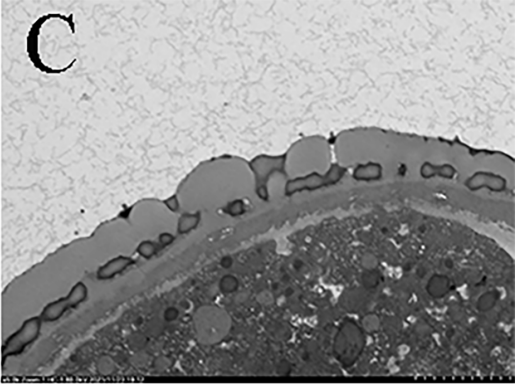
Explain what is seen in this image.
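Higher magnification of the wall and peripheral cytoplasm of a pollen grain. The outer wall bears a row of rounded, grey, bead-like elements outlined by dark irregular bands. Beneath these lies a smoother, more uniform grey inner wall layer. The cytoplasm below is dense and granular, with numerous round grey and dark vesicles and inclusions of varying size. Scattered pale patches are visible in the cytoplasm.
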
